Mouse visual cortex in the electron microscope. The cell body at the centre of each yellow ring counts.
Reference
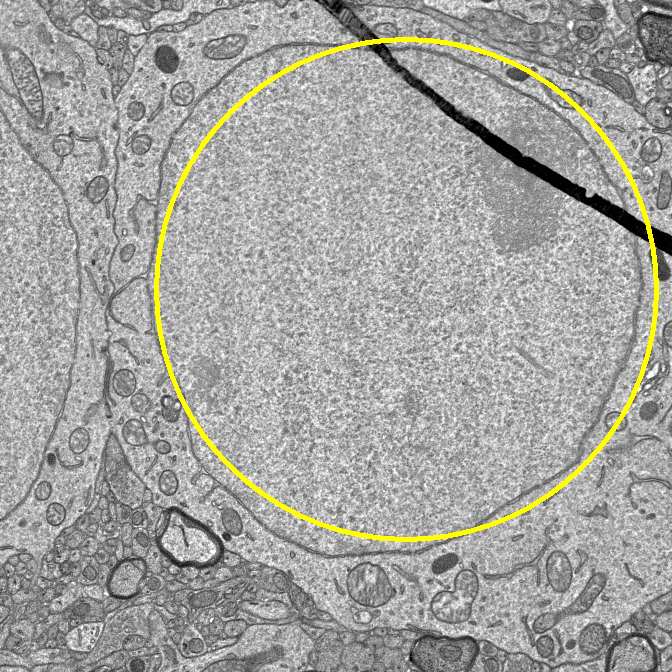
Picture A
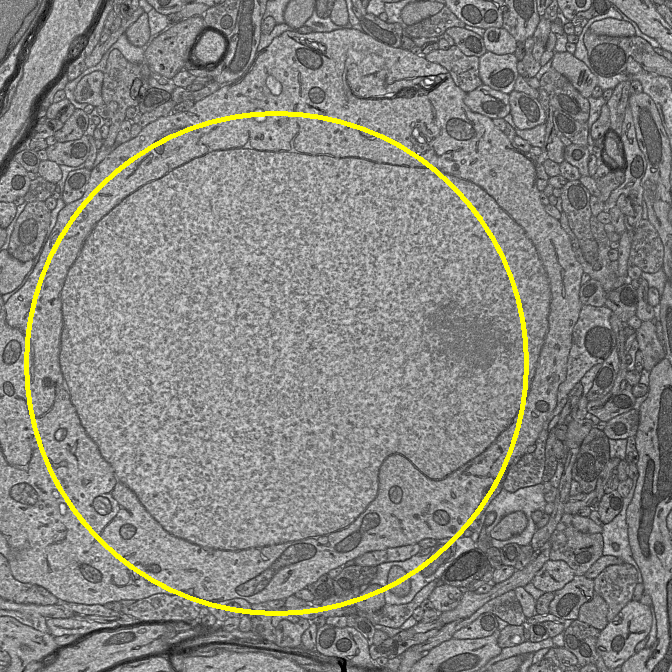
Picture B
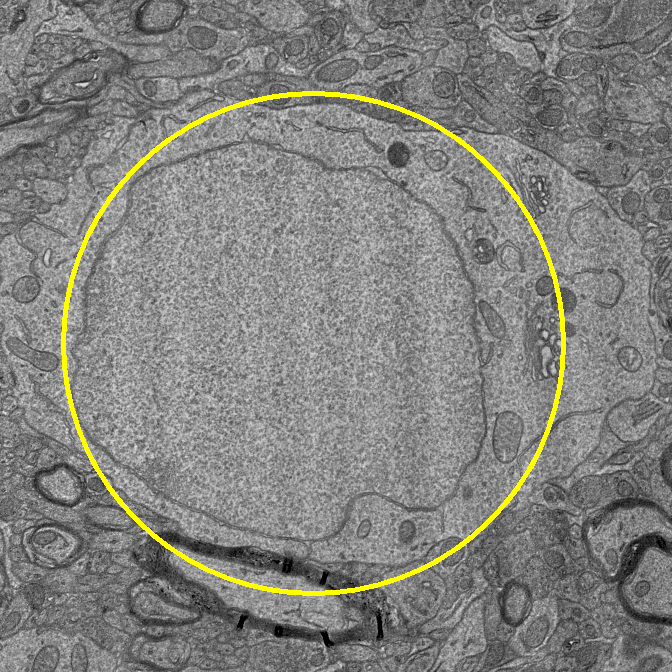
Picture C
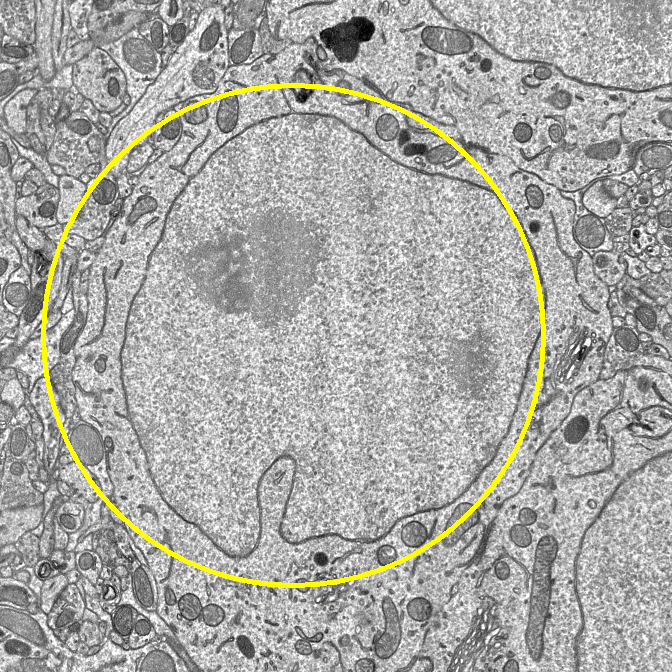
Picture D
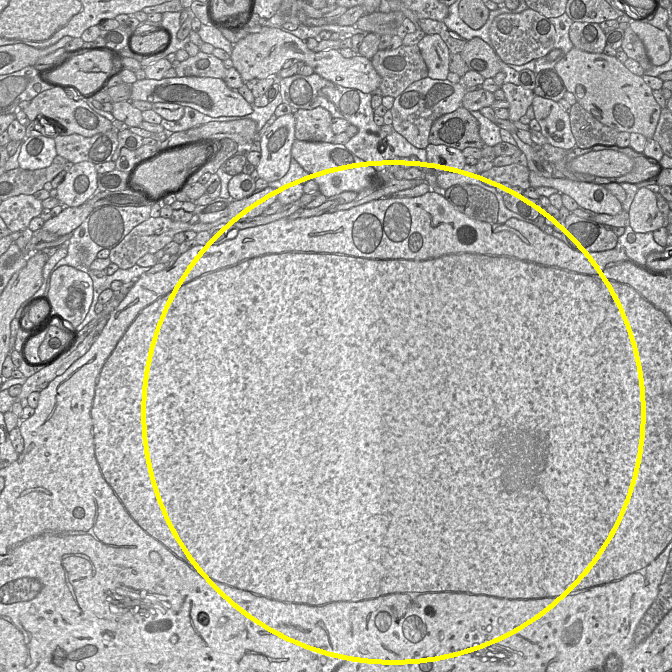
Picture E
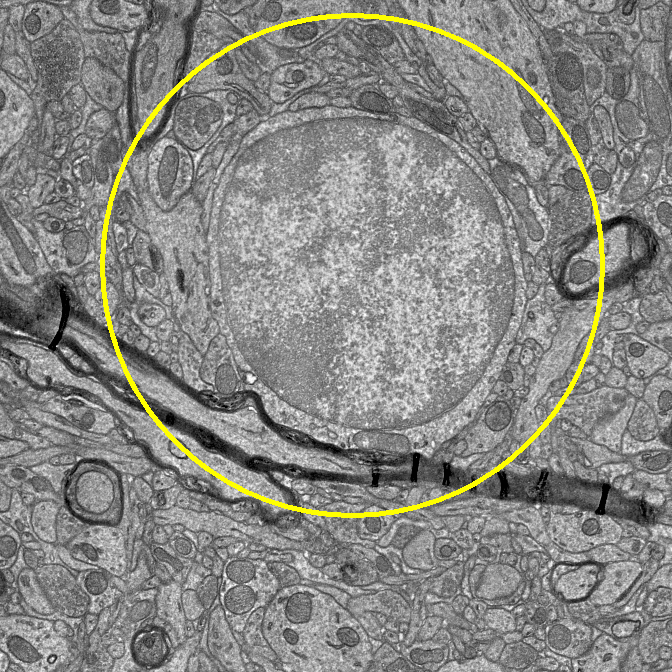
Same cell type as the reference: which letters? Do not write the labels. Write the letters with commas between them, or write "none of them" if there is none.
A, B, C, D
